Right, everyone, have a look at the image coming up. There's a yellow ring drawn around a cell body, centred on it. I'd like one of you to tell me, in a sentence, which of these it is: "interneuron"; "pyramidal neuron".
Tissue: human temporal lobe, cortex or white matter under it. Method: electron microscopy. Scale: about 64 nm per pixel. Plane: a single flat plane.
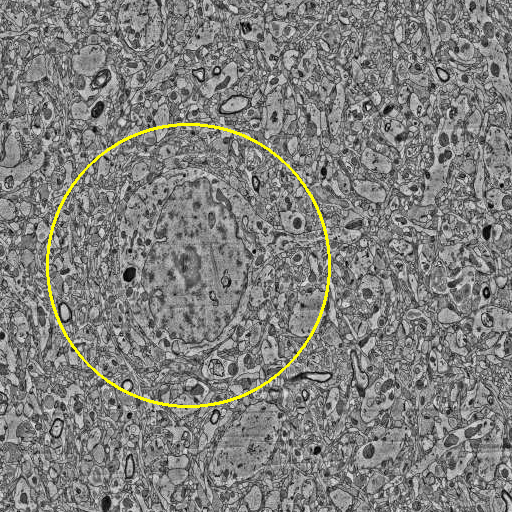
The yellow ring sits on an interneuron.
